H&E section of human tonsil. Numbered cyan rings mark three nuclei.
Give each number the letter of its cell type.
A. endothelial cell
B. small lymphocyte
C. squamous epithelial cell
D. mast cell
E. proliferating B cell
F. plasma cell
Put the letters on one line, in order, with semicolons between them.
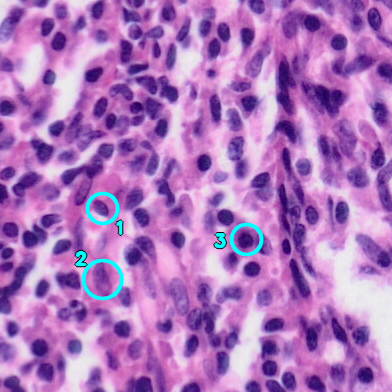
A; A; F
